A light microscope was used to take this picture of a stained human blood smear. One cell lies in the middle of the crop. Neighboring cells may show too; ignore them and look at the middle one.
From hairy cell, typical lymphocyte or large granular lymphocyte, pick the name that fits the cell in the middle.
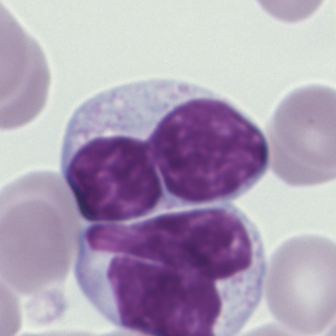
large granular lymphocyte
